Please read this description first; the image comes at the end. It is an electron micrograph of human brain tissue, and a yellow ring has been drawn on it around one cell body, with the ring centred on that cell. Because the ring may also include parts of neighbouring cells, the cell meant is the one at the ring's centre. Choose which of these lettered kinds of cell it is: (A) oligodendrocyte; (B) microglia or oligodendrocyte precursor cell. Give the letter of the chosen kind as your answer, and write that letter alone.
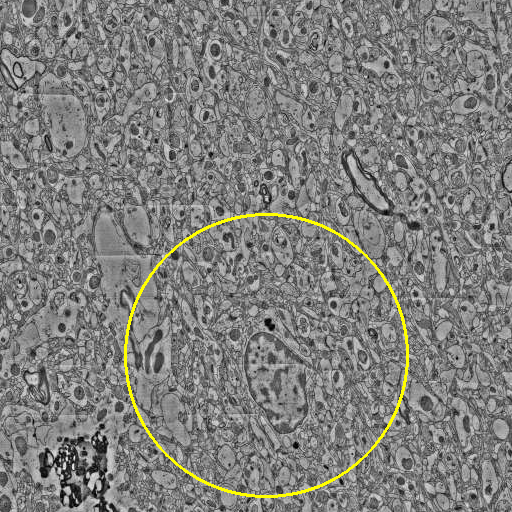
B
